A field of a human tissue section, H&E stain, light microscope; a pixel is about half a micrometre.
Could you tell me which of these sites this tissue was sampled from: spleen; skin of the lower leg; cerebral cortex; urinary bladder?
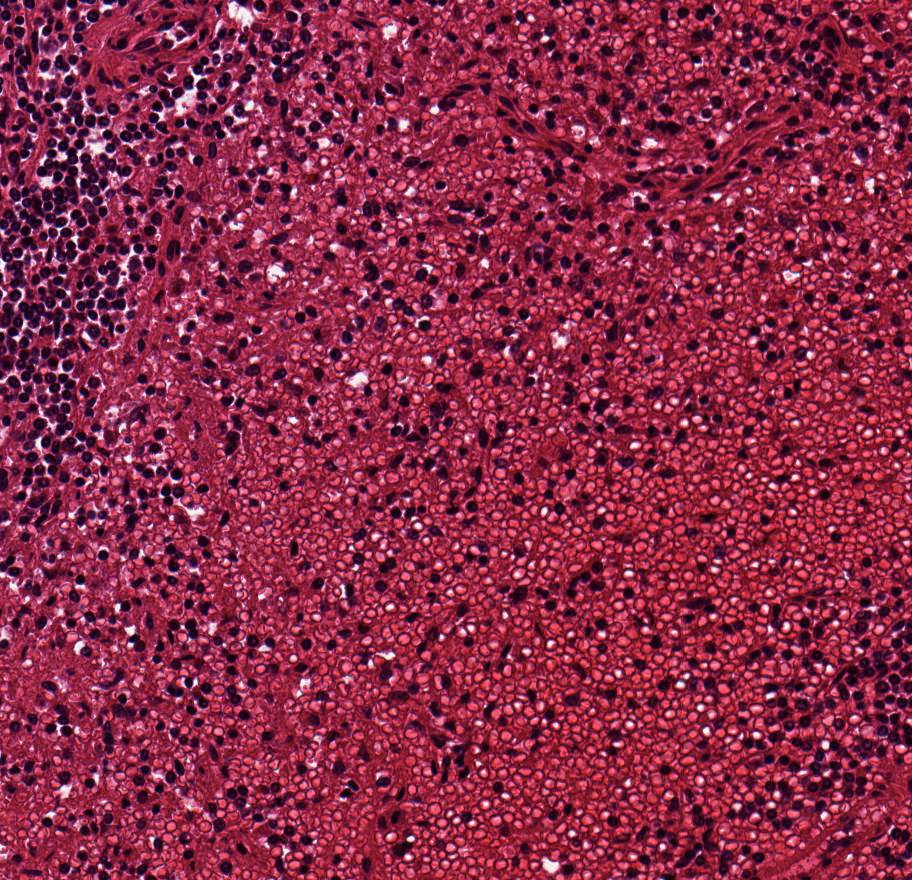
spleen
